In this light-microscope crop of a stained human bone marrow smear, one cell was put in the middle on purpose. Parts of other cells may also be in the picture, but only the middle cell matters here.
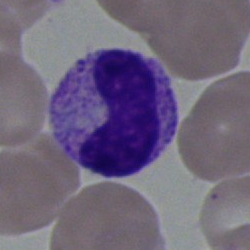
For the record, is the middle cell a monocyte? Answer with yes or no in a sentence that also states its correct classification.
No, the central cell does not count as a monocyte; it is a band neutrophil.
